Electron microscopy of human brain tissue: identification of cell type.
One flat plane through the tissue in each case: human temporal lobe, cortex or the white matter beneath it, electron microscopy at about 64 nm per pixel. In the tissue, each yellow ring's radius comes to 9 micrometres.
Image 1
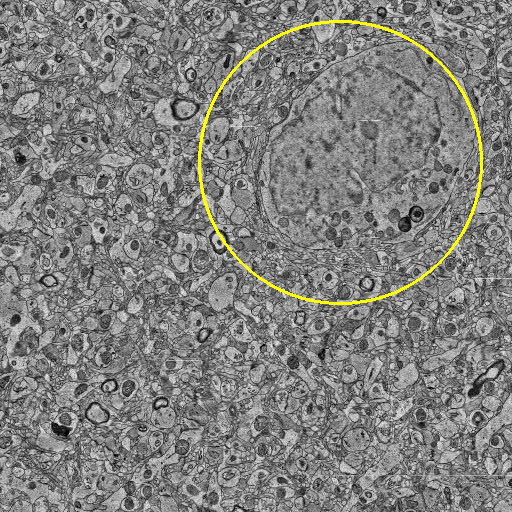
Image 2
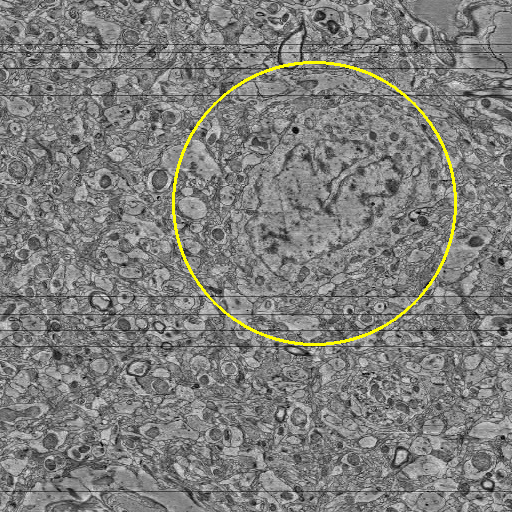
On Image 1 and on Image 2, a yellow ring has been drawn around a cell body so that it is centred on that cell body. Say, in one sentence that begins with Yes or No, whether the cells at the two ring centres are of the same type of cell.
Yes, both cells are the same type of cell.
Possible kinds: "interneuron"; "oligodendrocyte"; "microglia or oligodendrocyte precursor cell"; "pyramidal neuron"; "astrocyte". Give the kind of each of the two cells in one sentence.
Each of the ringed cells, first and second, is an interneuron.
